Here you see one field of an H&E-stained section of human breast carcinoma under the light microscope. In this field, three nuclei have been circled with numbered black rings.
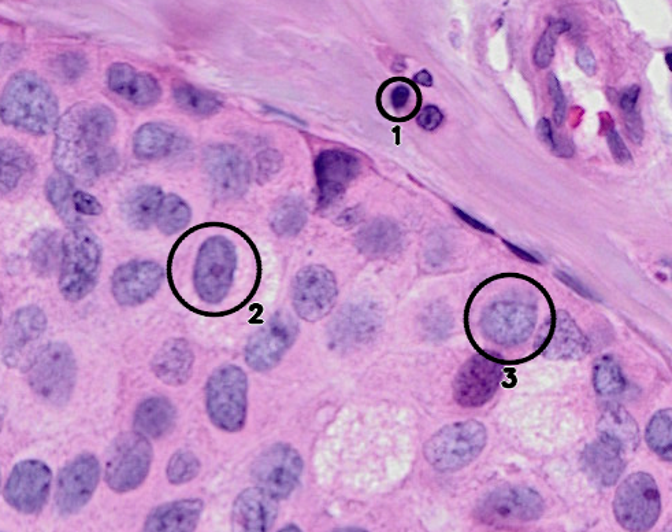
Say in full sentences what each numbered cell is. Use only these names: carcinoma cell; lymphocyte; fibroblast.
Cell 1 is a lymphocyte, cell 2 is a carcinoma cell and cell 3 is a carcinoma cell.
